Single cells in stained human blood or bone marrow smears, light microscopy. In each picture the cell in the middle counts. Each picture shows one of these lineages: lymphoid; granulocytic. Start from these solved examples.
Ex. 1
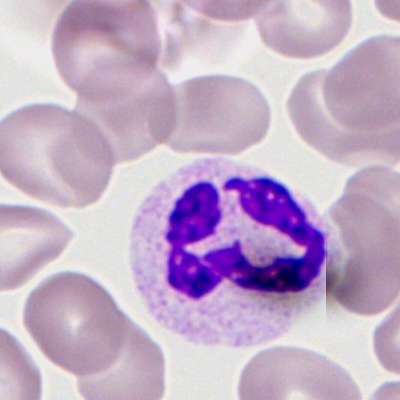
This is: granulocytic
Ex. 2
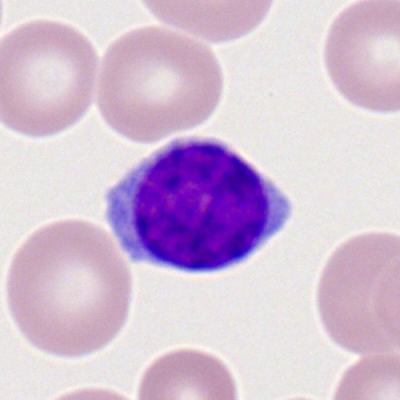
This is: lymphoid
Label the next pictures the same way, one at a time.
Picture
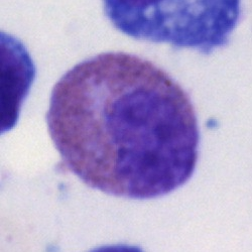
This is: granulocytic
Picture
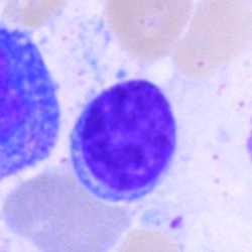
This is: lymphoid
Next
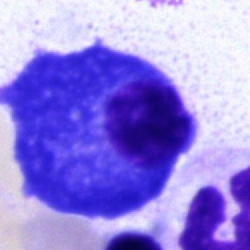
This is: lymphoid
